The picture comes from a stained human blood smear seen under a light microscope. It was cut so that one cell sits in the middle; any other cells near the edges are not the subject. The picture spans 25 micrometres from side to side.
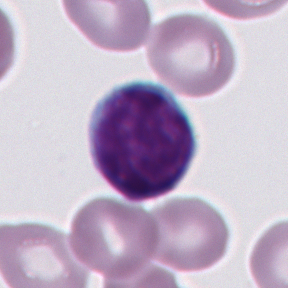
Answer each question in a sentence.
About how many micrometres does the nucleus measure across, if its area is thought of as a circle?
The diameter of the nucleus comes to about 9 micrometres.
